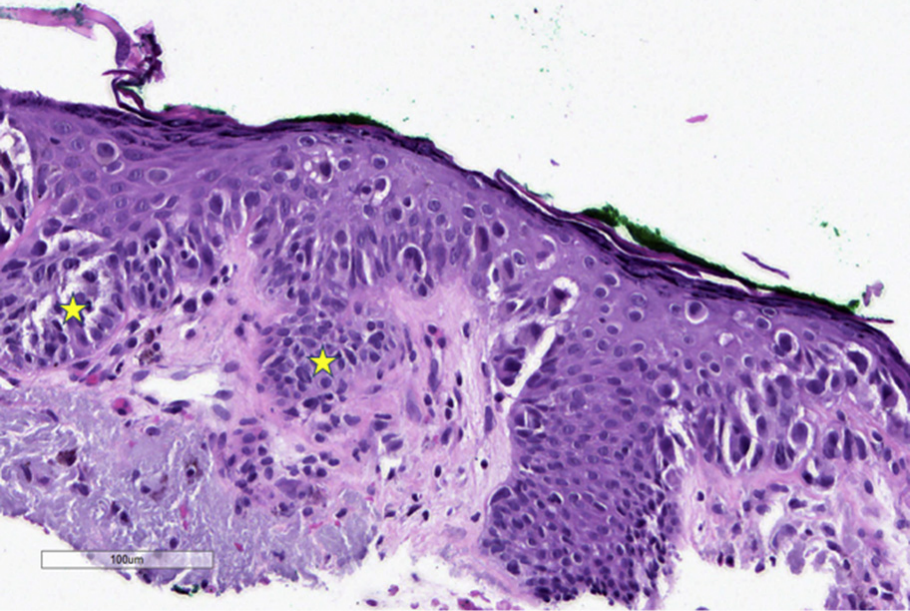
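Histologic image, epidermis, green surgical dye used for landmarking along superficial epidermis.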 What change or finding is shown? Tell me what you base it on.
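Junctional proliferations. Many atypical cells crowd along the base of the epidermis at the dermal junction. Scattered large cells with clear halos lie also in upper epidermal layers.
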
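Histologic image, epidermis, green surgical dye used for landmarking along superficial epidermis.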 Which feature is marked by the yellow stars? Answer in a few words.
heterogenous nests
